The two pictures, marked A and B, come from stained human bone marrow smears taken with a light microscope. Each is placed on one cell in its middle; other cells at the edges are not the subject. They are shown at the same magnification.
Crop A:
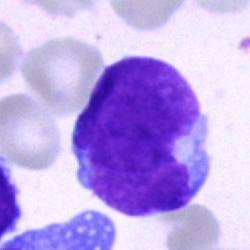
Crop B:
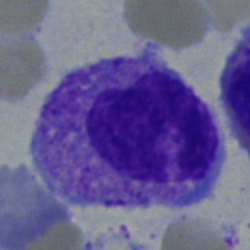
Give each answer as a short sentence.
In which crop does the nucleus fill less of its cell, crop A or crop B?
The nucleus fills less of the cell in crop B than in crop A.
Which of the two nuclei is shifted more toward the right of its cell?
Seen within its cell, the nucleus in crop B lies further toward the right.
